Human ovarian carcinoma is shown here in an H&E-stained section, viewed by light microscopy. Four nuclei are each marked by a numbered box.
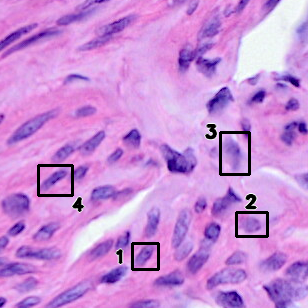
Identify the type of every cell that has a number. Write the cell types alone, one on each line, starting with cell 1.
smooth muscle cell
smooth muscle cell
fibroblast
smooth muscle cell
